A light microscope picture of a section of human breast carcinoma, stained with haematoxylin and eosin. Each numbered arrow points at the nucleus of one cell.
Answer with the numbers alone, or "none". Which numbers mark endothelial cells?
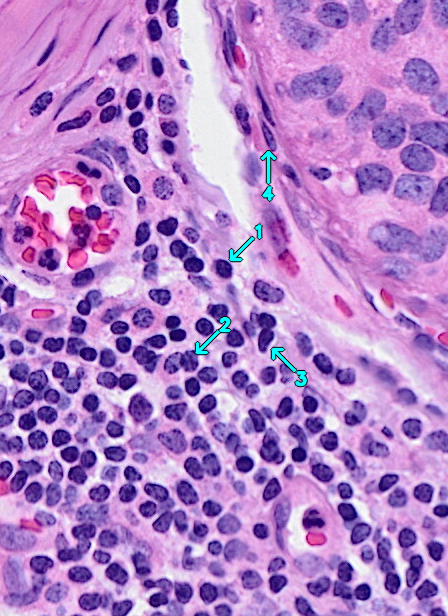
4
